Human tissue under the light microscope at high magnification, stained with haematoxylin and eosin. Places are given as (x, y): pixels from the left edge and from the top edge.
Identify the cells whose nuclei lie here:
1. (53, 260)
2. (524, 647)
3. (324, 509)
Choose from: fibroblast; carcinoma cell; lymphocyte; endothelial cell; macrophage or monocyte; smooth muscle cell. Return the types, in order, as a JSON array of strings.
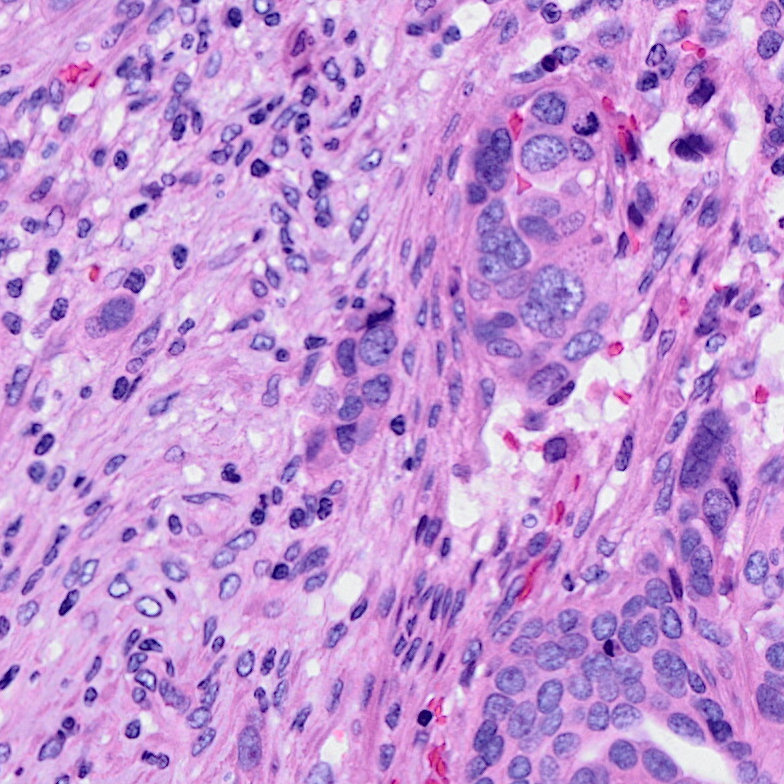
["lymphocyte", "carcinoma cell", "lymphocyte"]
